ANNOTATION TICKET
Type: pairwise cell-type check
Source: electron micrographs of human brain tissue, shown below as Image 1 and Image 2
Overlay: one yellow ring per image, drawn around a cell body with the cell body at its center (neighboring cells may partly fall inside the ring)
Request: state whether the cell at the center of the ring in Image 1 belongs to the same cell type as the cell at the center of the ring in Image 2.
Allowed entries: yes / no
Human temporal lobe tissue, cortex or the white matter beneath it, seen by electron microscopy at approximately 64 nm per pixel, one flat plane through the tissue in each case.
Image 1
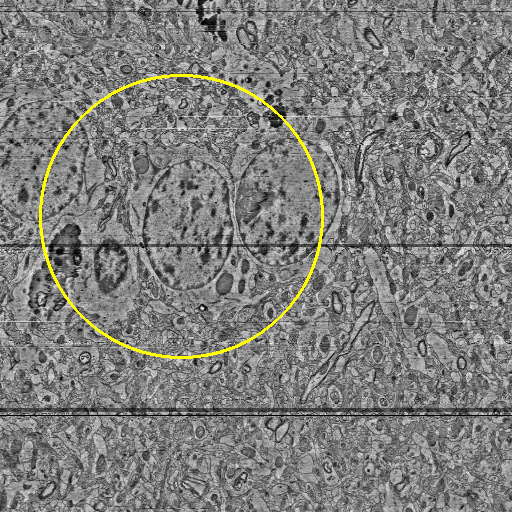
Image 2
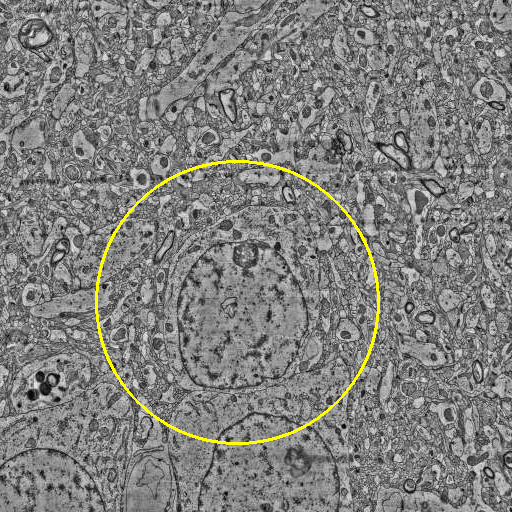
no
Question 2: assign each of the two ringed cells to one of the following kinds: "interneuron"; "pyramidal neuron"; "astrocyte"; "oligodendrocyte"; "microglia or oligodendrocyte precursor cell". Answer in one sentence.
The two cells are an astrocyte in the first picture and a pyramidal neuron in the second.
